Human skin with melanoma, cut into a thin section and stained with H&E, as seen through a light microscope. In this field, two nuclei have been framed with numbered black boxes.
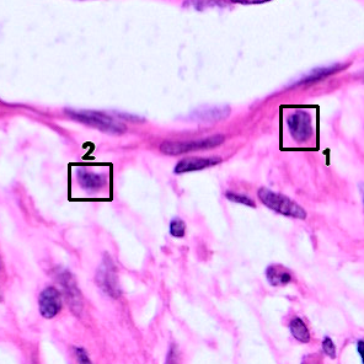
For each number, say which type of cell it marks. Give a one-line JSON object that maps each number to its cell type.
{"1": "lymphocyte", "2": "macrophage or monocyte"}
